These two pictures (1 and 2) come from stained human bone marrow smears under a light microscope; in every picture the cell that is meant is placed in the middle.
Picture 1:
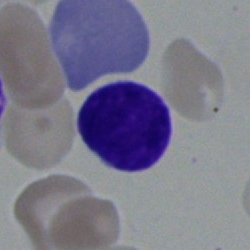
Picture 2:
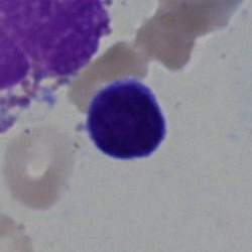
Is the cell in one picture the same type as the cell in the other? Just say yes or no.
yes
